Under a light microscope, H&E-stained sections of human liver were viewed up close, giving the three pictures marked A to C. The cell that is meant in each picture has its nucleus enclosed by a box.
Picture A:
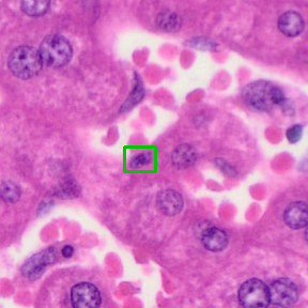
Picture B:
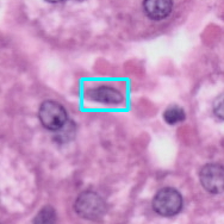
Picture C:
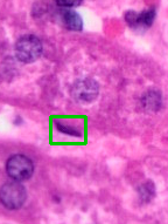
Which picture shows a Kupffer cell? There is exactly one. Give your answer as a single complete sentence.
Picture B shows the Kupffer cell.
